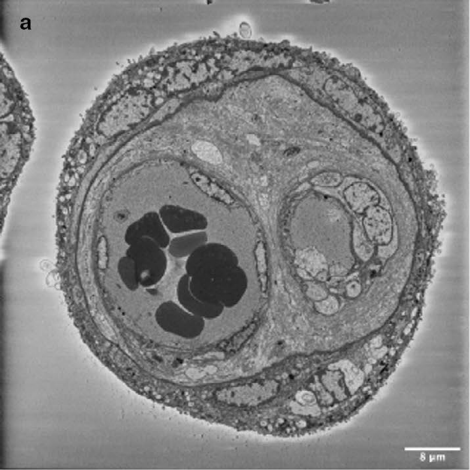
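Cross-section of a placental villus containing a pair of small vessels side by side. The left vessel holds a cluster of uniformly dark, anucleate oval red blood cell profiles in its lumen; the right vessel has a paler lumen. Loose stromal cells and connective tissue fill the space around the vessels. A continuous outer layer of epithelium with granular, vacuolated cytoplasm and scattered nuclei bounds the villus surface, with small projections on its free edge.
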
